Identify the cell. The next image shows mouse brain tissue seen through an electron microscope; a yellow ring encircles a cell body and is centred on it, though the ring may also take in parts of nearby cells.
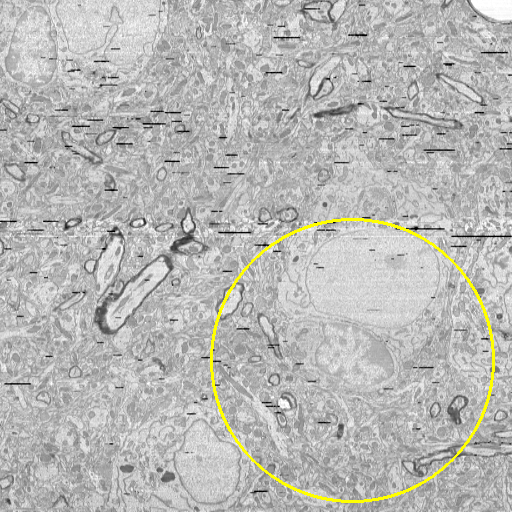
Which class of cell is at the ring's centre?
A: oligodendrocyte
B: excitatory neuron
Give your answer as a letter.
A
